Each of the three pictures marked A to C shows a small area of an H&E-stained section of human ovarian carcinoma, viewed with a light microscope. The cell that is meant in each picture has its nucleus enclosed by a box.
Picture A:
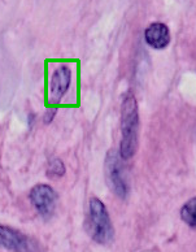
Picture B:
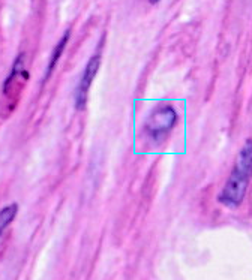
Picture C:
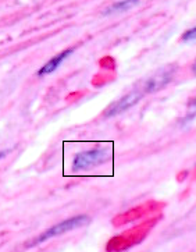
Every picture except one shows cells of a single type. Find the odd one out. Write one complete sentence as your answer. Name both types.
All pictures except A show fibroblasts; picture A shows a “macrophage or monocyte”.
